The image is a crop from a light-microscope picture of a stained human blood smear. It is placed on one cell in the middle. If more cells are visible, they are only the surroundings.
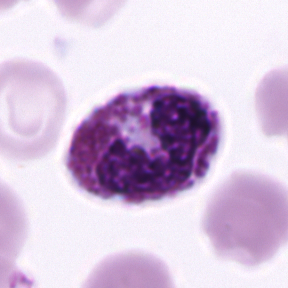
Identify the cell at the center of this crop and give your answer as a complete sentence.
At the center of the crop sits an eosinophil.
